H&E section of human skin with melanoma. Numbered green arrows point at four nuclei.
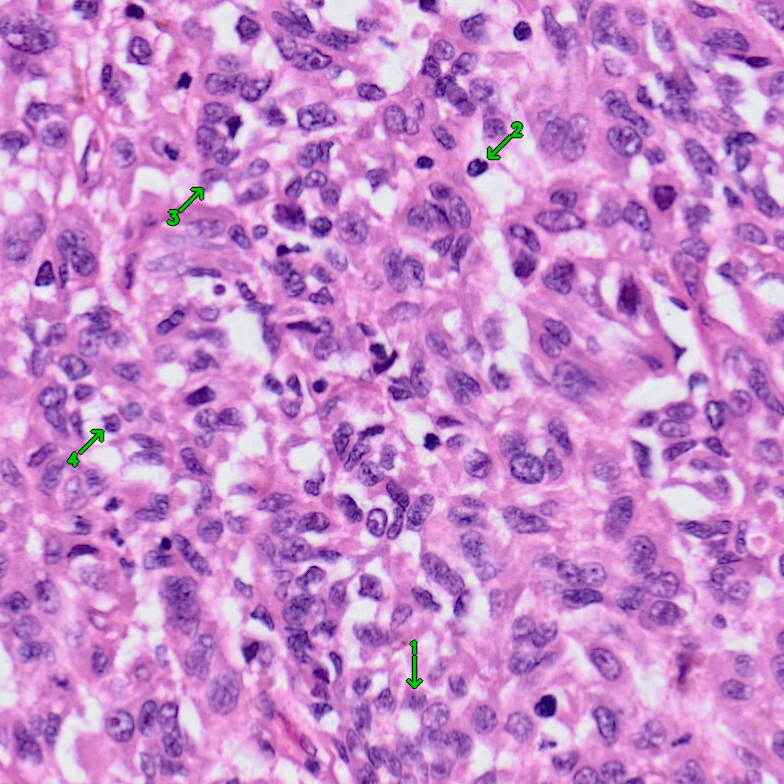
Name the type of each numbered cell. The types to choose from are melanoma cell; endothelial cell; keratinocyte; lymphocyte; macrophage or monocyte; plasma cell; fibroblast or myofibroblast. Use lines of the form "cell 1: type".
cell 1: melanoma cell
cell 2: lymphocyte
cell 3: melanoma cell
cell 4: melanoma cell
